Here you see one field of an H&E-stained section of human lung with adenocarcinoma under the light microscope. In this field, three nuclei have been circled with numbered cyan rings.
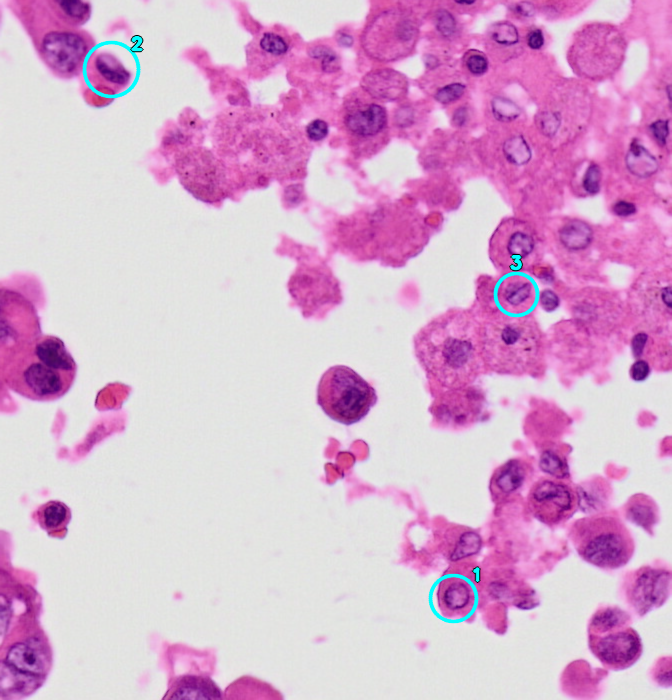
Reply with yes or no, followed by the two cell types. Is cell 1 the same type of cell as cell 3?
Yes, the cell marked 1 and the cell marked 3 are both macrophages or monocytes.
